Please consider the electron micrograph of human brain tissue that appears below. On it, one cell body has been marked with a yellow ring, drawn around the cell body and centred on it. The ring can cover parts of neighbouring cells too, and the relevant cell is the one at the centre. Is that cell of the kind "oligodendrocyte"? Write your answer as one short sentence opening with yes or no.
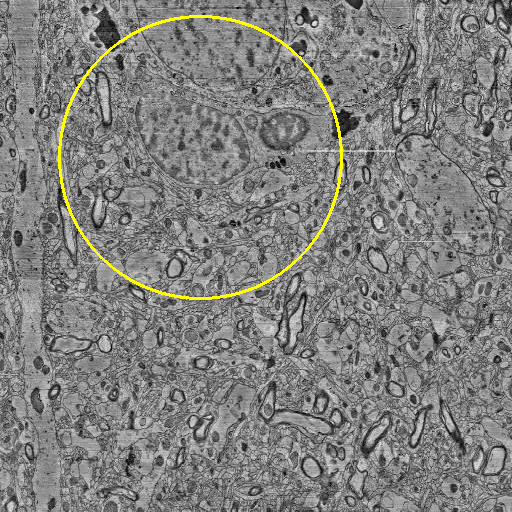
Yes, it is of that kind.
